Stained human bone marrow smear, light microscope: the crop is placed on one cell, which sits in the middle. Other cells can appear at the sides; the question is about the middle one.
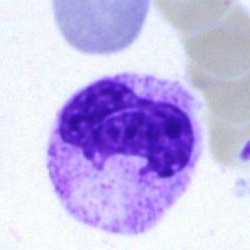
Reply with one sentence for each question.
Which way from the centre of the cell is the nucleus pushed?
Seen from the middle of the cell, the nucleus lies toward the top.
